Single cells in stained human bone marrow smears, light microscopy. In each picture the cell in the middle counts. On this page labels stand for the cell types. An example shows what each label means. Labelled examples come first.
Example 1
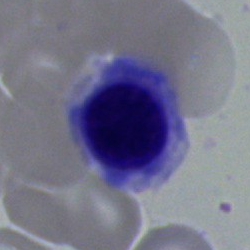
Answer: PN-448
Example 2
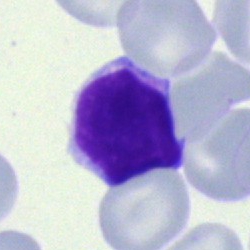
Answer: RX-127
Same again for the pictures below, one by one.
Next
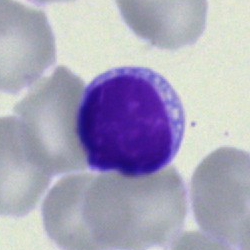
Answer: RX-127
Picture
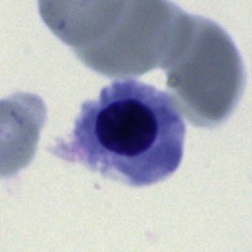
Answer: PN-448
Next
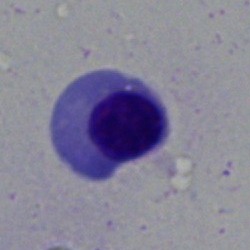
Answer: PN-448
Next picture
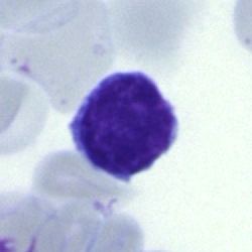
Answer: RX-127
